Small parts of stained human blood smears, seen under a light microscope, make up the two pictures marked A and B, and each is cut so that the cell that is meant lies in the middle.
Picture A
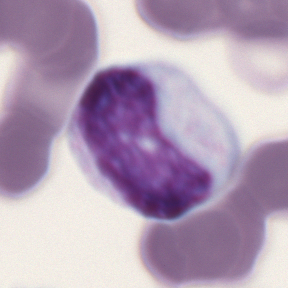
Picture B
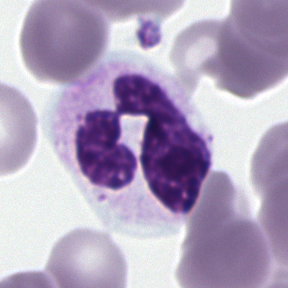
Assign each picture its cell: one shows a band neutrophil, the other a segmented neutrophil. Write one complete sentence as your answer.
Picture A is of a band neutrophil, and picture B is of a segmented neutrophil.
